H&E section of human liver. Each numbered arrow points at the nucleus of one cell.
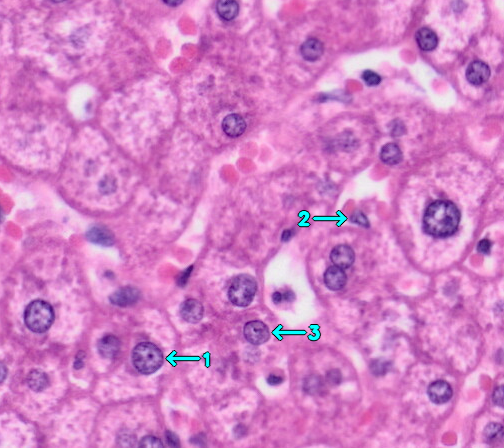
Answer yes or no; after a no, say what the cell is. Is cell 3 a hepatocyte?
Yes.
